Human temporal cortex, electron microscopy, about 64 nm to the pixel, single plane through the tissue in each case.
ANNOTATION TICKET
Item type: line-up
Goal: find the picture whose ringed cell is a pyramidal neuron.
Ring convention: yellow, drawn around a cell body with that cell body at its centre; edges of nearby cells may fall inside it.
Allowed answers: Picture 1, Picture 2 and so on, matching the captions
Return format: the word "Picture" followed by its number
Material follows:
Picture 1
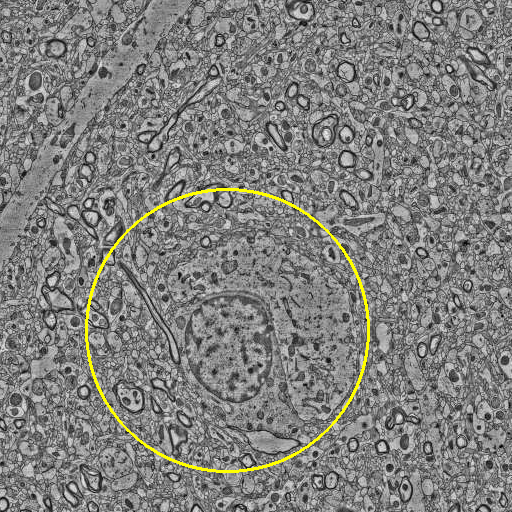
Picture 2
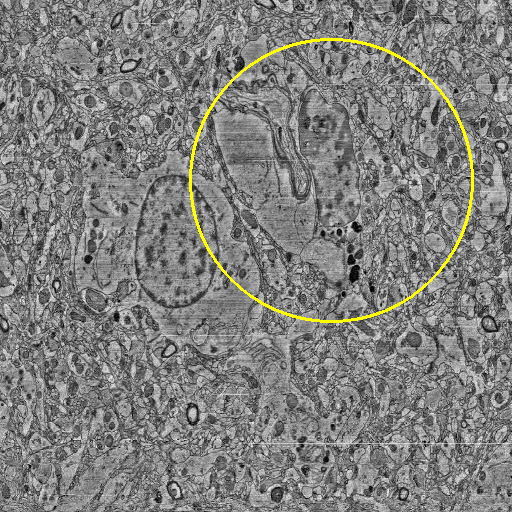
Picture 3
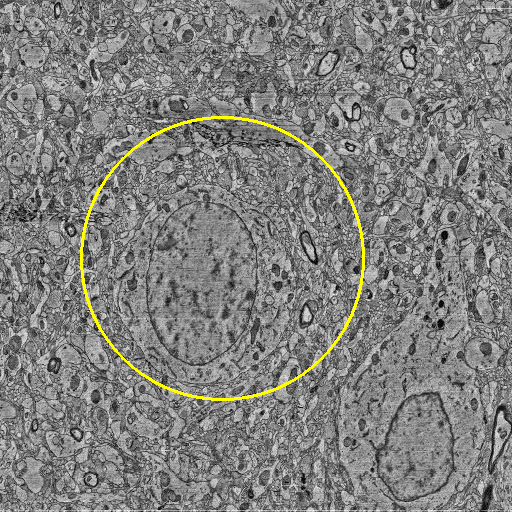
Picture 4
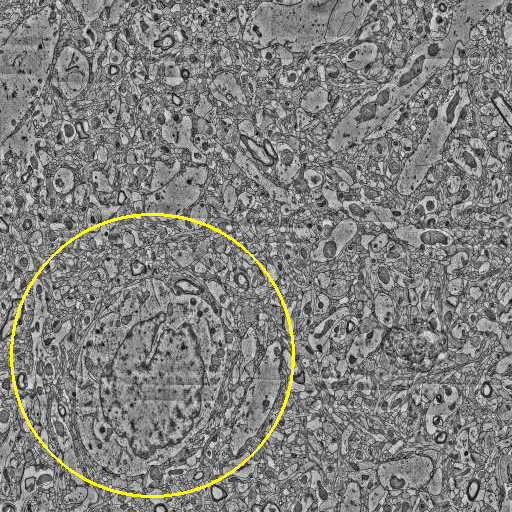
Picture 3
